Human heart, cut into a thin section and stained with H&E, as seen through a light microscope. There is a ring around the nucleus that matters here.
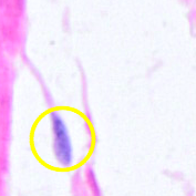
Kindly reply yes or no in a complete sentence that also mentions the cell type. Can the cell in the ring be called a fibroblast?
Yes, the classification of the cell in the ring as a fibroblast is accurate.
